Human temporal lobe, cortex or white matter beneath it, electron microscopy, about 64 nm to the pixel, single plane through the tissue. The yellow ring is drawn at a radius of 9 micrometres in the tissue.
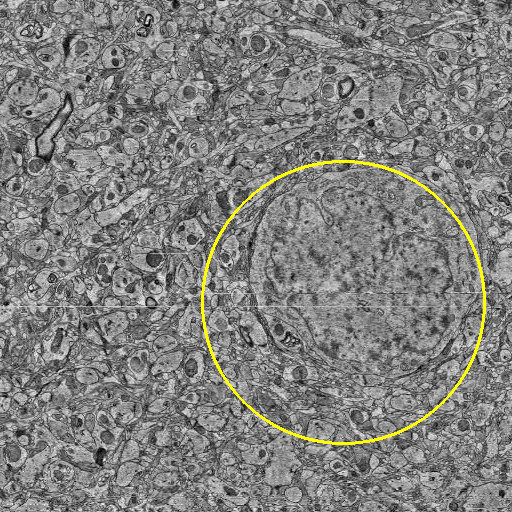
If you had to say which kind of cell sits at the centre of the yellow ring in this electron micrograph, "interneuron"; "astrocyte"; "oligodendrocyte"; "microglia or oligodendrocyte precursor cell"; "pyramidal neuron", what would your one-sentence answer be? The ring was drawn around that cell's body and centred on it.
The cell sitting at the centre of the ring is an interneuron.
